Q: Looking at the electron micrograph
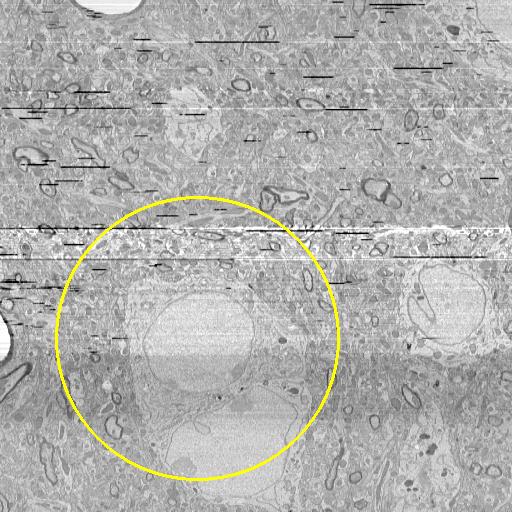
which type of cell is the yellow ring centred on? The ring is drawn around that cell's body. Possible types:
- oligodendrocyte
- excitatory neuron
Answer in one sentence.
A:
The yellow ring is centred on an oligodendrocyte.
